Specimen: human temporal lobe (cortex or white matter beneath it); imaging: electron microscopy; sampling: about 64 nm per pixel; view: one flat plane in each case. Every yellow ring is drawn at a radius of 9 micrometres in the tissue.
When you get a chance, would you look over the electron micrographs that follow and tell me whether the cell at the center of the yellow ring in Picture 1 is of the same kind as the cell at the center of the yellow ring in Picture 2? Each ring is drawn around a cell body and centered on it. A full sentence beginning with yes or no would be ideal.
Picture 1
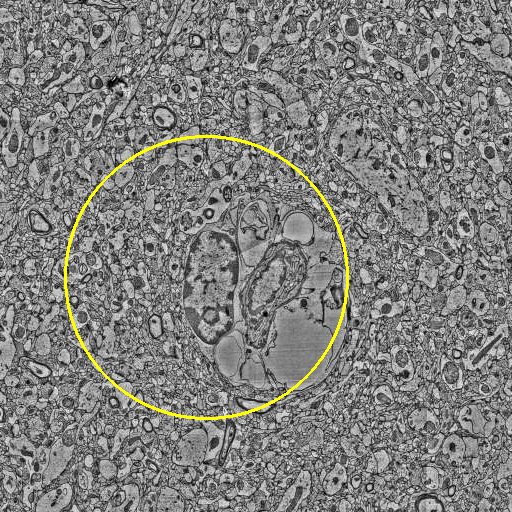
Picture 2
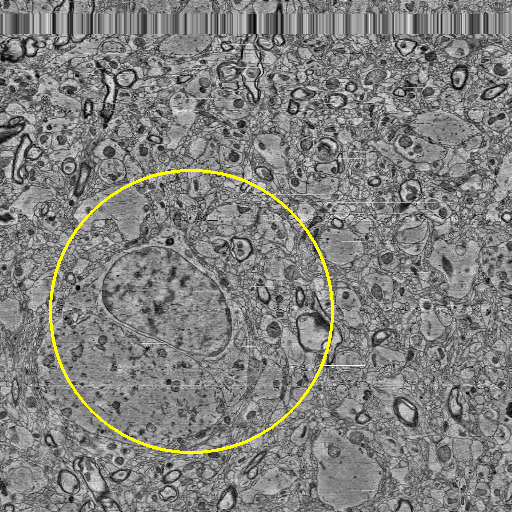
Yes, the two cells are of the same kind.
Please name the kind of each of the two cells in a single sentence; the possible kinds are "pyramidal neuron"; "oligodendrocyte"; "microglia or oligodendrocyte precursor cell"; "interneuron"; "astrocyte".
Each of the two cells is a microglial cell or oligodendrocyte precursor cell.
